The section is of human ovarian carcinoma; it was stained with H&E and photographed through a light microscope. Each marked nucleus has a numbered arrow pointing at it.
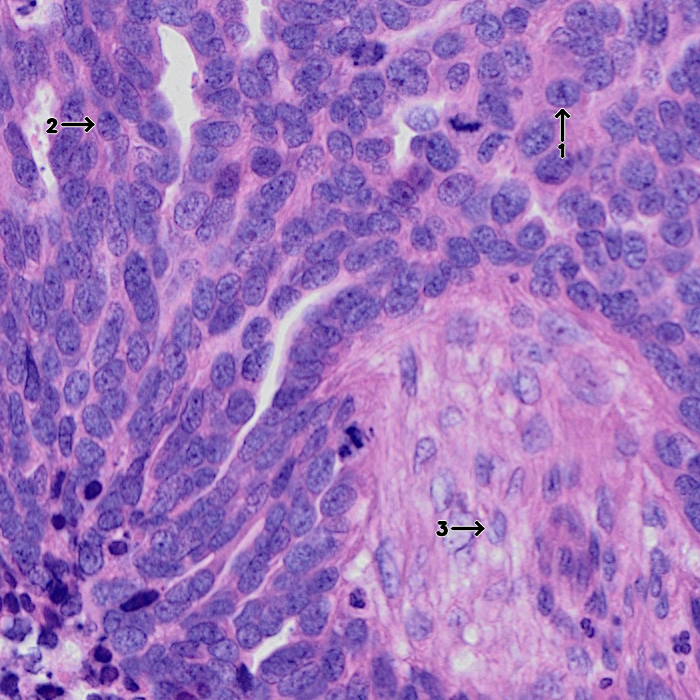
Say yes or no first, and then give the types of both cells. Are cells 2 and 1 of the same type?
Yes, going by number, cells 2 and 1 are both carcinoma cells.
